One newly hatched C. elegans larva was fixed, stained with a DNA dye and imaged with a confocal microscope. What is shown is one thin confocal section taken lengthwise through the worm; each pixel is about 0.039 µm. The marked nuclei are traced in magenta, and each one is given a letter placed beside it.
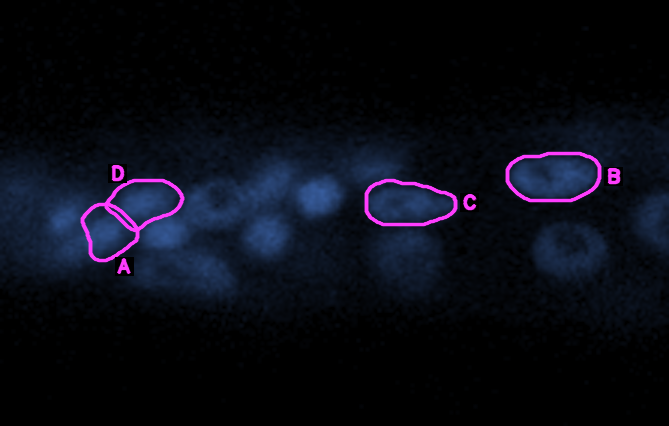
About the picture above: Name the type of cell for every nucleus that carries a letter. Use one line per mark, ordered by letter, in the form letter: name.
A: neuron
B: body wall muscle cell
C: enteric muscle cell
D: neuron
